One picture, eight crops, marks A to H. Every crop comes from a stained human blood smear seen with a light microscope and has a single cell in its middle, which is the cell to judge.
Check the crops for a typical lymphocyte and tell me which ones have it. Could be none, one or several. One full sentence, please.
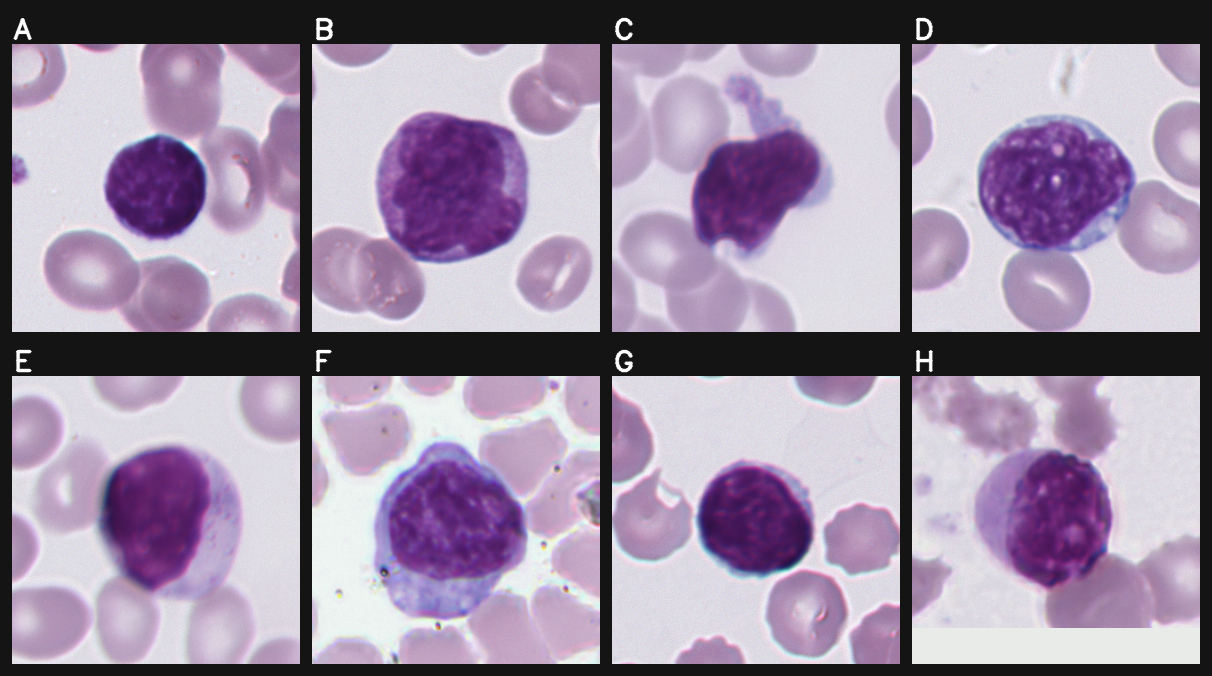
Crops A, C and G feature typical lymphocytes as the cells at their centres.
